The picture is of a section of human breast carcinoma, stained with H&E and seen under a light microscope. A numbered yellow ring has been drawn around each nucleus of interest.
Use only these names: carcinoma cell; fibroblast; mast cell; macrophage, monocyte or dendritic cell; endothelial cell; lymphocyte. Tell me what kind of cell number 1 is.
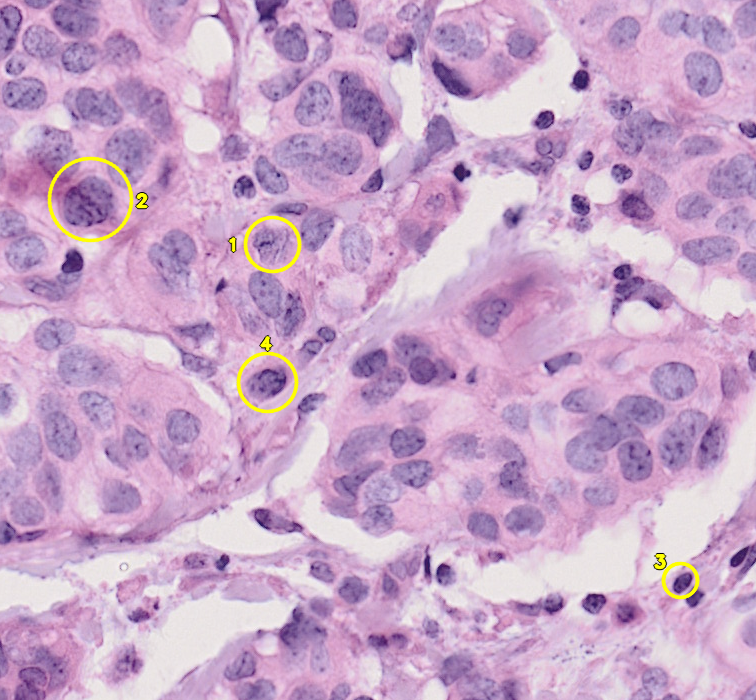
carcinoma cell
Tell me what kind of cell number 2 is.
carcinoma cell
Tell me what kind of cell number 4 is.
carcinoma cell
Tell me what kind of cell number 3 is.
lymphocyte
